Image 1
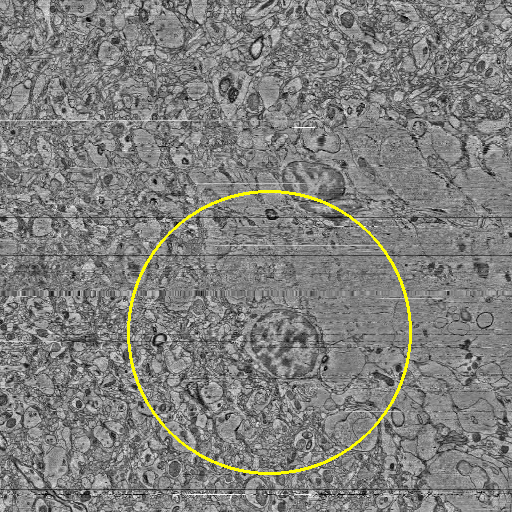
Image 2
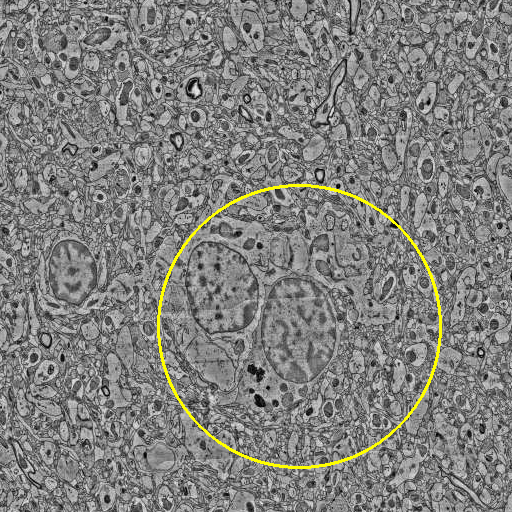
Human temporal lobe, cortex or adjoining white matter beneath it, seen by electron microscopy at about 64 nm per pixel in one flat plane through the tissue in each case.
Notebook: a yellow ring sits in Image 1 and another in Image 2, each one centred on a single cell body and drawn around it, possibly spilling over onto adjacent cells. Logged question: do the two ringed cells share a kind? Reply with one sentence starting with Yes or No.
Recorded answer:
Yes, both centre cells inside the rings of Image 1 and Image 2 share one kind.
